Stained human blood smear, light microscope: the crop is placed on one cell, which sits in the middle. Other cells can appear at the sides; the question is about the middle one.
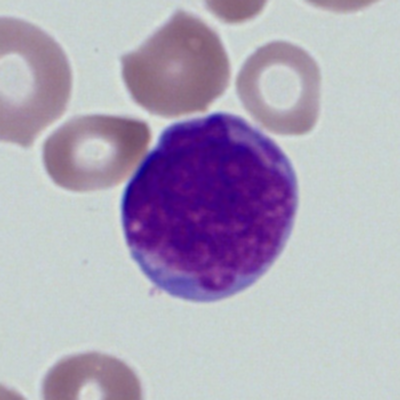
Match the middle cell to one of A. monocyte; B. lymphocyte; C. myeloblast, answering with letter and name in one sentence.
The centrally located cell is a myeloblast, making option C the correct choice.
